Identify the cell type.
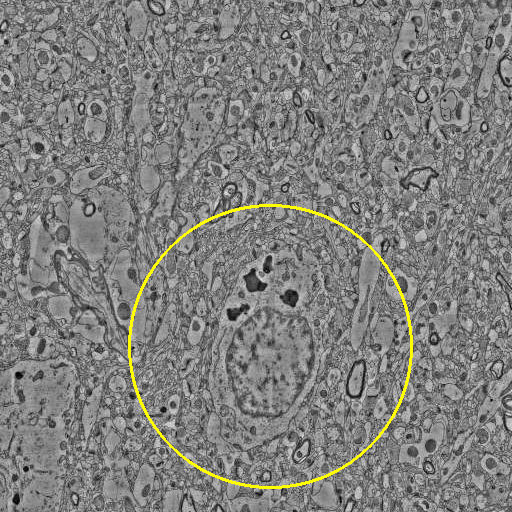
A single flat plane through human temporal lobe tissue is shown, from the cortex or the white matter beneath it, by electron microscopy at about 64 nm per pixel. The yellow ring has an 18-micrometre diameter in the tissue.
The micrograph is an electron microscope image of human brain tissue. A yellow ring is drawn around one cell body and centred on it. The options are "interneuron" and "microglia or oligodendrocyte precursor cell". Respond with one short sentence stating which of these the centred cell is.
The cell body in the ring belongs to an interneuron.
